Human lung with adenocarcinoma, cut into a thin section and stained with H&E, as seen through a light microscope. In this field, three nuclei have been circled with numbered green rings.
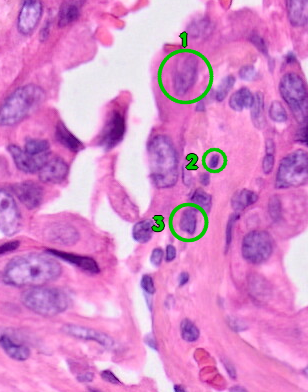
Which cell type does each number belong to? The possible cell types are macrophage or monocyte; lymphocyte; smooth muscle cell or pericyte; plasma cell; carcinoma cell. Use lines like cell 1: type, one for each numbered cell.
cell 1: carcinoma cell
cell 2: lymphocyte
cell 3: lymphocyte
